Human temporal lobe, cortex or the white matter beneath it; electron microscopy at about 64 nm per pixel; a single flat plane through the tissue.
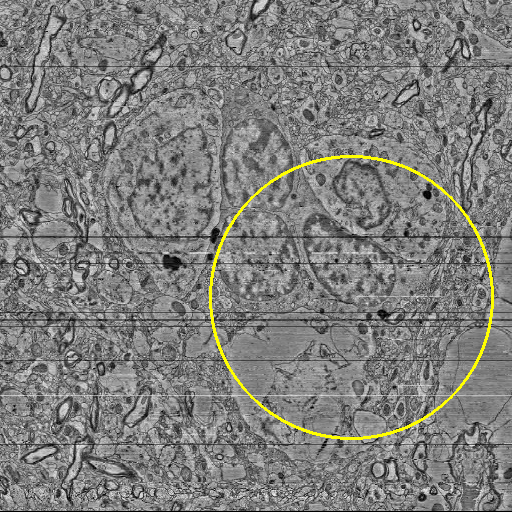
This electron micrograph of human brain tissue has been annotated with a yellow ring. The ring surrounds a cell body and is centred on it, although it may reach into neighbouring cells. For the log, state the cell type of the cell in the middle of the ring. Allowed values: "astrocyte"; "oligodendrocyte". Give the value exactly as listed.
oligodendrocyte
